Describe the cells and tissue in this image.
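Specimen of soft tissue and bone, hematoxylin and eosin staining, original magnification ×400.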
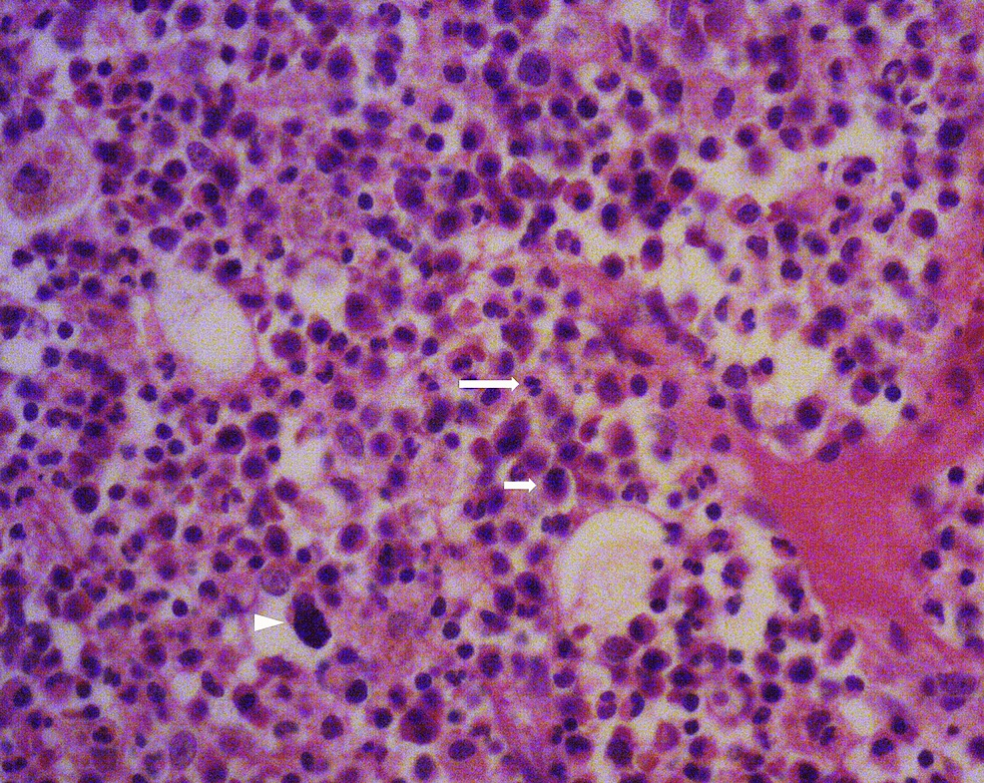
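This field shows tissue densely packed with a mixed population of inflammatory cells. Many cells are small with a single round, dark purple nucleus and scant cytoplasm, typical of lymphocytes. Scattered among them are cells whose nuclei are divided into several lobes, typical of neutrophils. A few larger cells with more abundant cytoplasm are present, including one very dark, irregular cell. Several rounded clear spaces interrupt the cellular sheet, and a band of bright pink, structureless material runs across the right side of the field.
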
